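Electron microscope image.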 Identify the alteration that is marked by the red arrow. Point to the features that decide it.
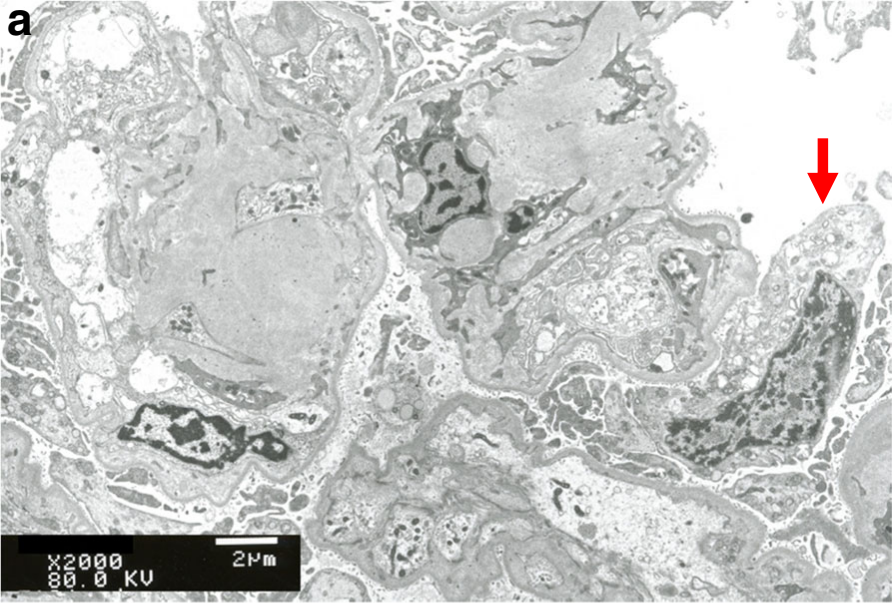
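The cell under the arrow sits on the outer side of a capillary loop. Its cytoplasm holds many small clear round vacuoles. That points to this answer: Vacuolar degeneration of podocytes.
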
